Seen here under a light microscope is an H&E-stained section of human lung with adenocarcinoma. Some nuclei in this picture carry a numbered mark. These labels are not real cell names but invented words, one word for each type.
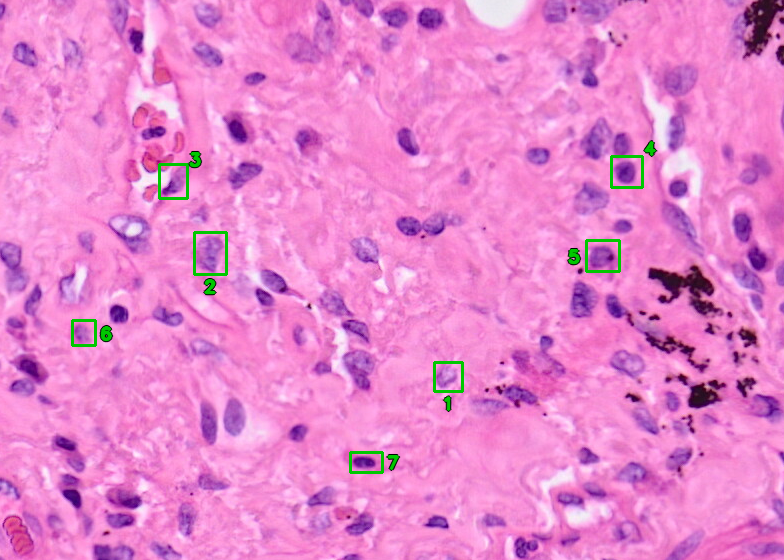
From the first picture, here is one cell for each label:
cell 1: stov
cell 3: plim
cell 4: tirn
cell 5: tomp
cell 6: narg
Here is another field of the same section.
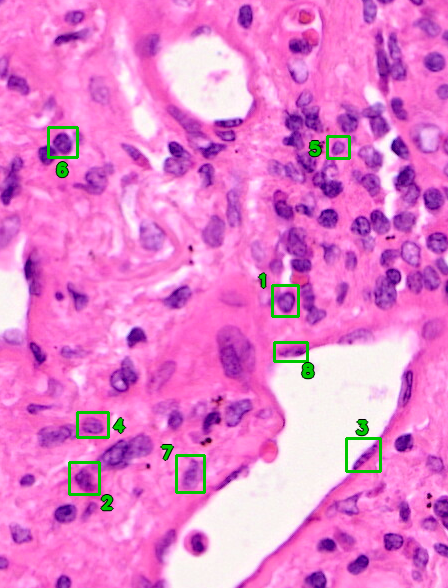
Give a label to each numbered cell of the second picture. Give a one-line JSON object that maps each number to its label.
{"1": "narg", "2": "tomp", "3": "plim", "4": "narg", "5": "tirn", "6": "tirn", "7": "stov", "8": "plim"}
